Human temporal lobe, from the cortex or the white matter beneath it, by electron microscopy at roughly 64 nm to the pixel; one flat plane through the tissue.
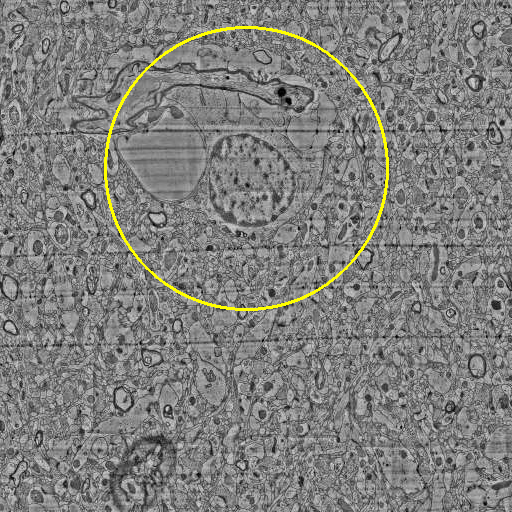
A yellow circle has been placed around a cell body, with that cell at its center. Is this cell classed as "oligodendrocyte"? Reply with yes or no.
No, it belongs to another class.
